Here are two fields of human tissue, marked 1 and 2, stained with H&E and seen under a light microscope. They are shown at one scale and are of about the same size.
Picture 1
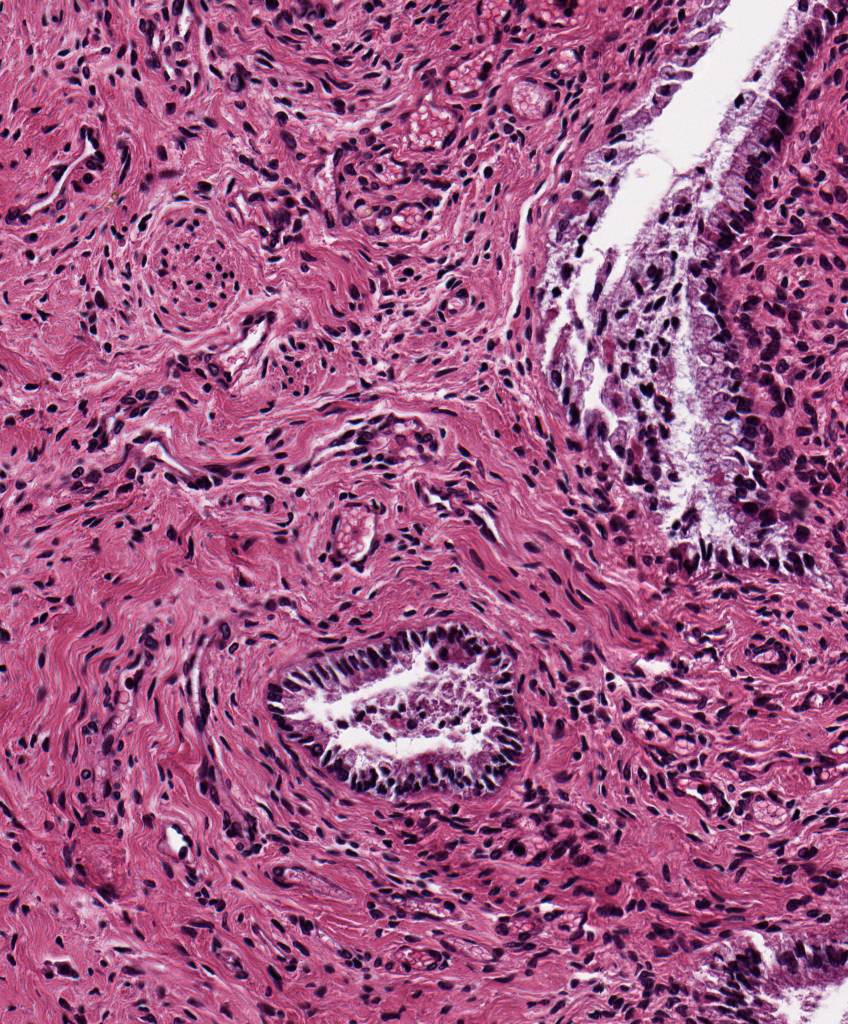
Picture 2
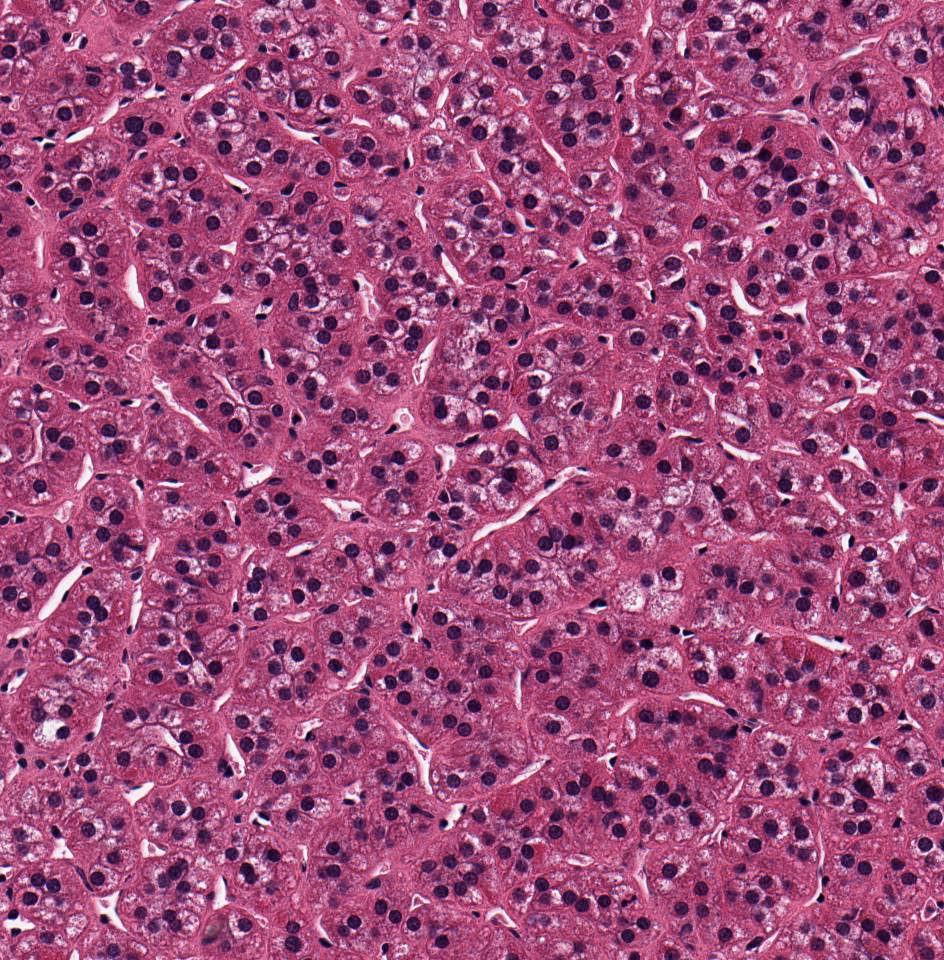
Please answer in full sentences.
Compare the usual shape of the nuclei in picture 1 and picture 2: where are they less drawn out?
The nuclei are rounder in picture 2.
